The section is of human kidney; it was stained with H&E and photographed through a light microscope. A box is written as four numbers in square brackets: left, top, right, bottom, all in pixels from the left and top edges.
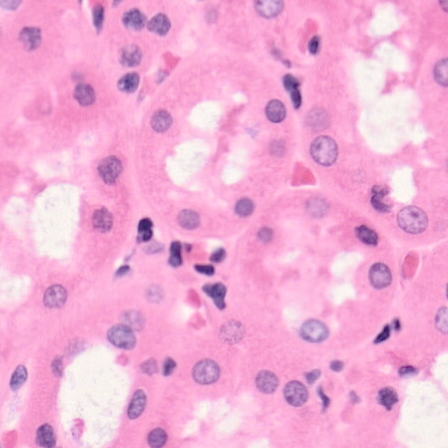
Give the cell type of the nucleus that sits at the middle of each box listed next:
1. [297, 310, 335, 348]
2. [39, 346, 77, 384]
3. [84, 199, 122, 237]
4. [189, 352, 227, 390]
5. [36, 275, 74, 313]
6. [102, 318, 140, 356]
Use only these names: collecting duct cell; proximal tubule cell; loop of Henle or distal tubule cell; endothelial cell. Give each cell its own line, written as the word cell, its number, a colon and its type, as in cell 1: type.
cell 1: proximal tubule cell
cell 2: loop of Henle or distal tubule cell
cell 3: proximal tubule cell
cell 4: proximal tubule cell
cell 5: proximal tubule cell
cell 6: loop of Henle or distal tubule cell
